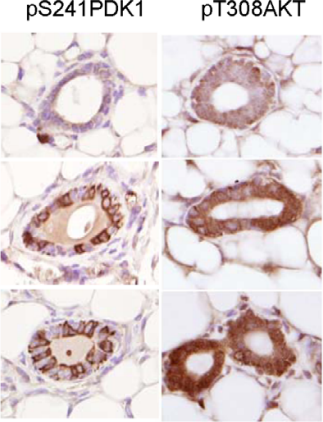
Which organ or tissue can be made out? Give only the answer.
mammary gland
